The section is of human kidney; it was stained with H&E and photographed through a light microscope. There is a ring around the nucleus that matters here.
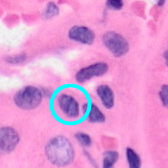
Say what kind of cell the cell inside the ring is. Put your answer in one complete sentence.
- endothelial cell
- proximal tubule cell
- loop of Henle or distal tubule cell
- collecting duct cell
Cytologically, the cell inside the ring is to be regarded as a collecting duct cell.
